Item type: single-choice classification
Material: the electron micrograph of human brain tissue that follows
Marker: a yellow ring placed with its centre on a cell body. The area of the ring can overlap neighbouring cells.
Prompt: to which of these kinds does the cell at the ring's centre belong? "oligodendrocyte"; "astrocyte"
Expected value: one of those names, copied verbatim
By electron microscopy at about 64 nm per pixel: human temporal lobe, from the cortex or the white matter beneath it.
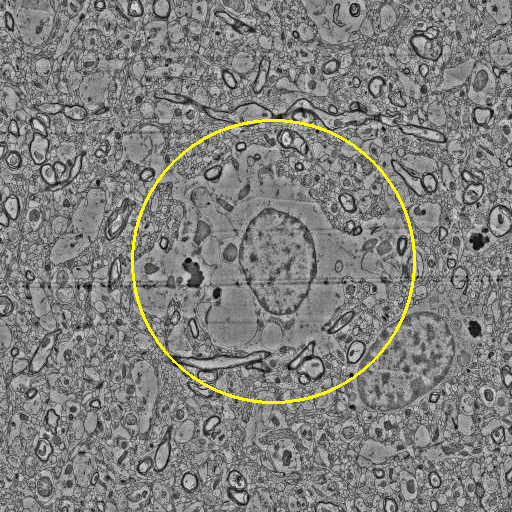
astrocyte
